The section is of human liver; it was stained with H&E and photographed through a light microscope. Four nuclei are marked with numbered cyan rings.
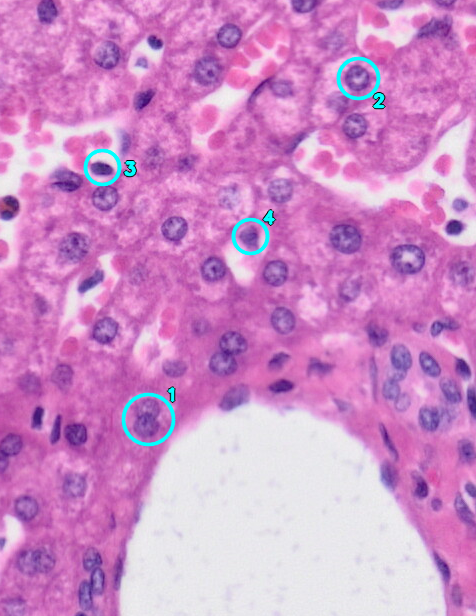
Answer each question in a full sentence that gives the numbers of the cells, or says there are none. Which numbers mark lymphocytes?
Only number 3 is a lymphocyte; none of the others are.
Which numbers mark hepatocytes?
The cells carrying labels 1 and 2 are hepatocytes.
